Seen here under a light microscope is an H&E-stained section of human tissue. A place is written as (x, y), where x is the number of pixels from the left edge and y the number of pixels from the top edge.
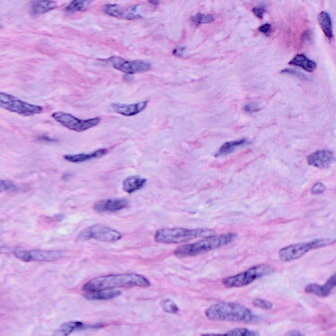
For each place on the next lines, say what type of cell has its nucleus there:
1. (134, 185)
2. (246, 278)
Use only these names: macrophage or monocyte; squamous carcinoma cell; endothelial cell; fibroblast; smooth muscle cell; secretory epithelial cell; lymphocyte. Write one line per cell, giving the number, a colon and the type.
1: fibroblast
2: smooth muscle cell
